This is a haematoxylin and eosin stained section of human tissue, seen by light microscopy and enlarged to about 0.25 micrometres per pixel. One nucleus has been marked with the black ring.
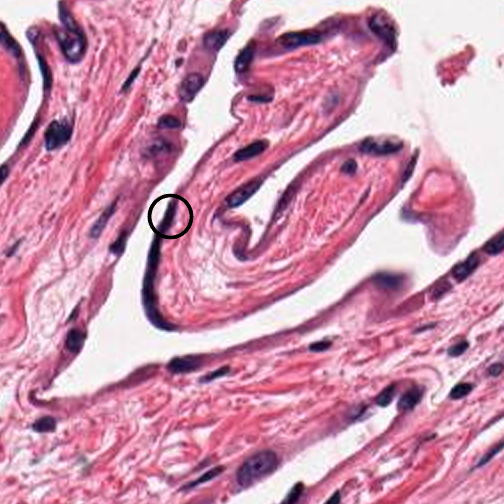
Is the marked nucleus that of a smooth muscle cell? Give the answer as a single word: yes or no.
no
